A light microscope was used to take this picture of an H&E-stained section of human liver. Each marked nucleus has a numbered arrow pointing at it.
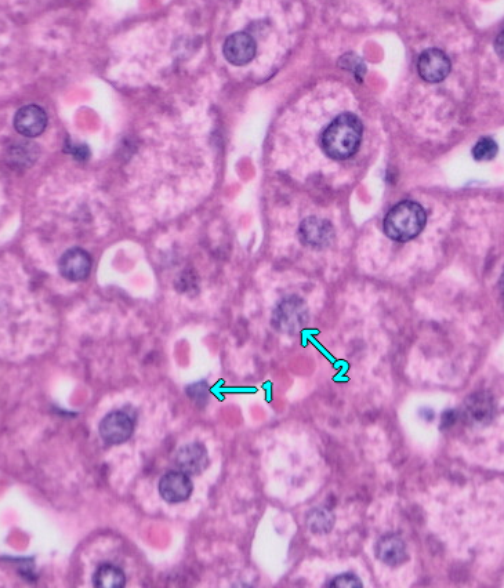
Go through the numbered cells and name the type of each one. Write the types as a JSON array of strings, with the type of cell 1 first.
["endothelial cell", "hepatocyte"]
